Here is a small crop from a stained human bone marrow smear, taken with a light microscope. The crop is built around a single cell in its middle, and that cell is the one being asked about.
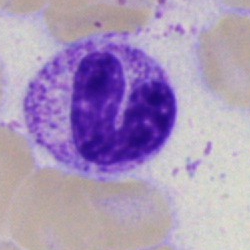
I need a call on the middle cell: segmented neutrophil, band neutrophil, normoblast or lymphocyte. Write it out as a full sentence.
In the center of this field lies a band neutrophil.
